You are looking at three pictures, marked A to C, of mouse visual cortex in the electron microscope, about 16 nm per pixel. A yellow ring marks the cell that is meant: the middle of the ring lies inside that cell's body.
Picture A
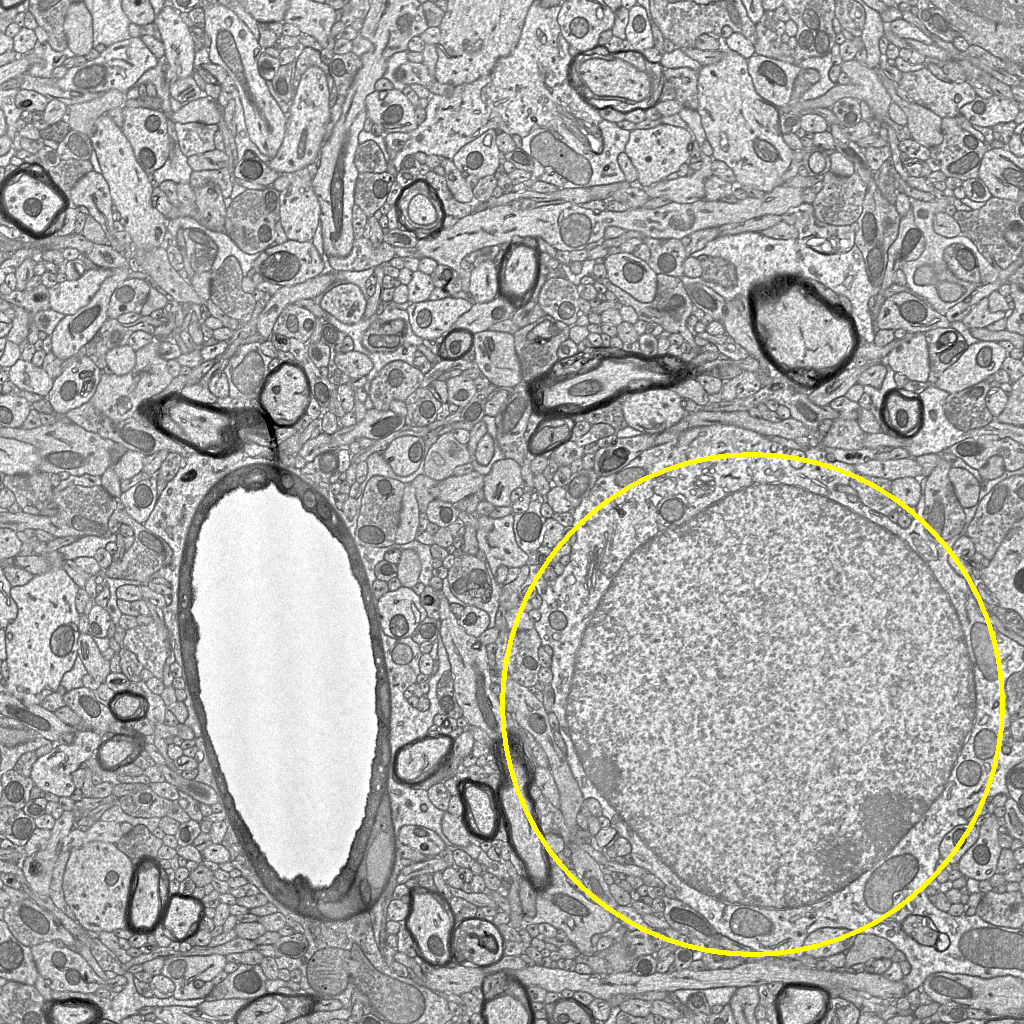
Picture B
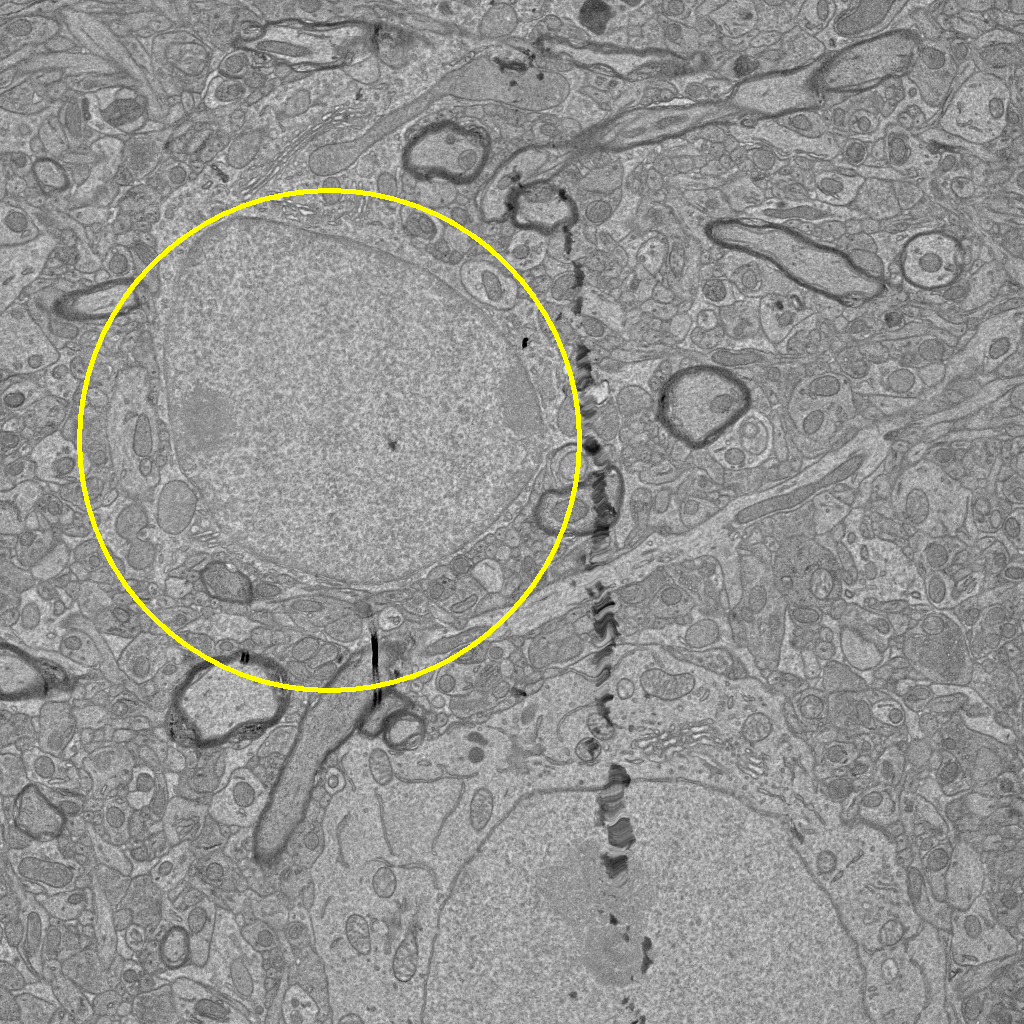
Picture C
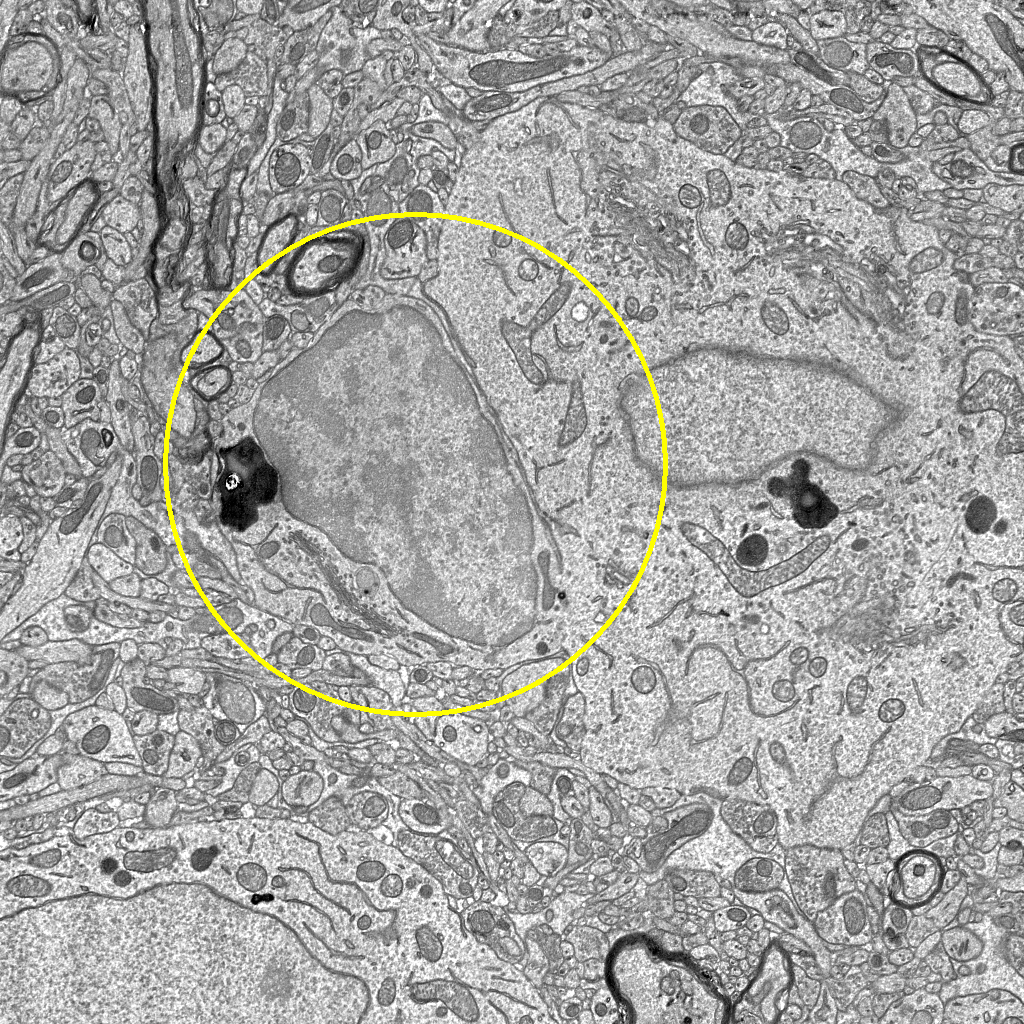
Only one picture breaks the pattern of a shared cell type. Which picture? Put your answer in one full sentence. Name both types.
Picture C differs, because its cell is a microglial cell and the rest are astrocytes.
